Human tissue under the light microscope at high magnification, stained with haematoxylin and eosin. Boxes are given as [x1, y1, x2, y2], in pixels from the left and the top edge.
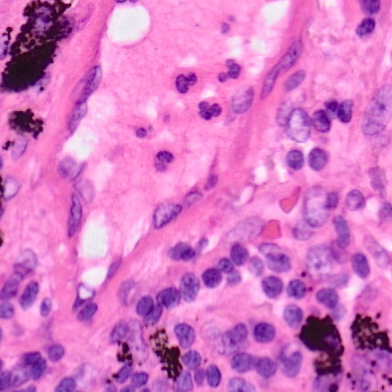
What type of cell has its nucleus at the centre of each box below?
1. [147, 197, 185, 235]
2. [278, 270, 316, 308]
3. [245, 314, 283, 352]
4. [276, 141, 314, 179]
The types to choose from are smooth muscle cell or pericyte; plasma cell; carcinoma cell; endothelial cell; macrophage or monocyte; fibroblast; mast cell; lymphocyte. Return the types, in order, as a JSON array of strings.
["endothelial cell", "lymphocyte", "lymphocyte", "lymphocyte"]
